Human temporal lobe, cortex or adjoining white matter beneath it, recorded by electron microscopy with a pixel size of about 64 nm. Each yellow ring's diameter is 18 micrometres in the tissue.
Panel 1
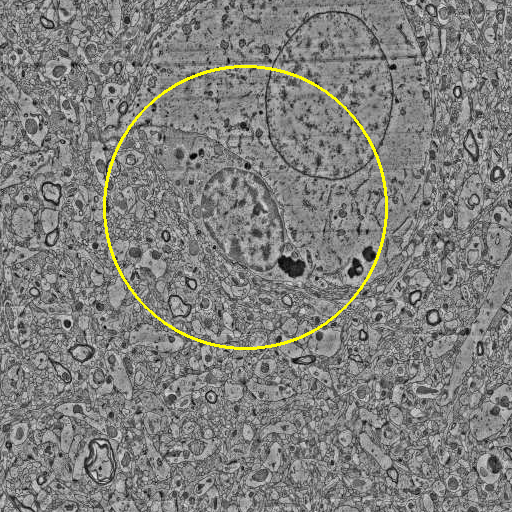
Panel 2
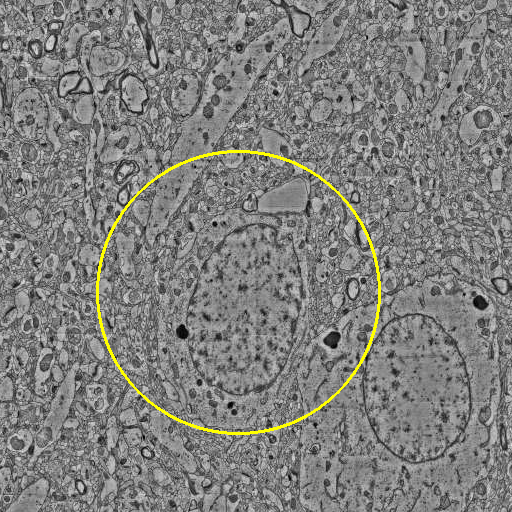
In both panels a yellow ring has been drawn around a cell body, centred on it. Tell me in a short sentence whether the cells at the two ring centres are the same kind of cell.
No, they are two kinds of cell.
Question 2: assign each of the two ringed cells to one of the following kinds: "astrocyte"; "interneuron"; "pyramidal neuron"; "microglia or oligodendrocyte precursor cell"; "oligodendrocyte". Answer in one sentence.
The two cells are an oligodendrocyte in the first picture and an interneuron in the second.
